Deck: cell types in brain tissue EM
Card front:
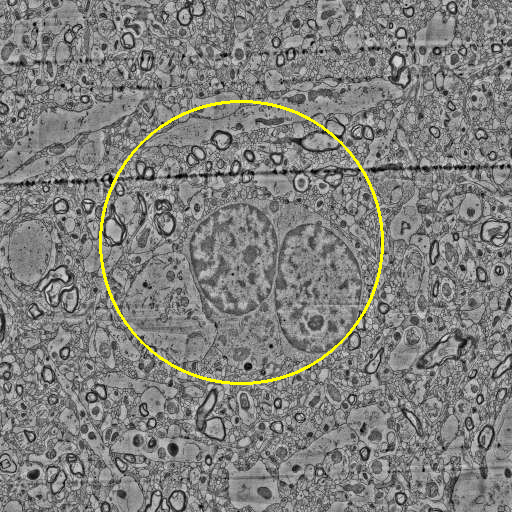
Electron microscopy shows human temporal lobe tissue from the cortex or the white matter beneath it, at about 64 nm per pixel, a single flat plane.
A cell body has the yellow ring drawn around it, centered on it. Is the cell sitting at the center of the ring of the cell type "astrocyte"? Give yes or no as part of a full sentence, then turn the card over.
No, on this card the yellow ring is centered on a cell of a different type.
